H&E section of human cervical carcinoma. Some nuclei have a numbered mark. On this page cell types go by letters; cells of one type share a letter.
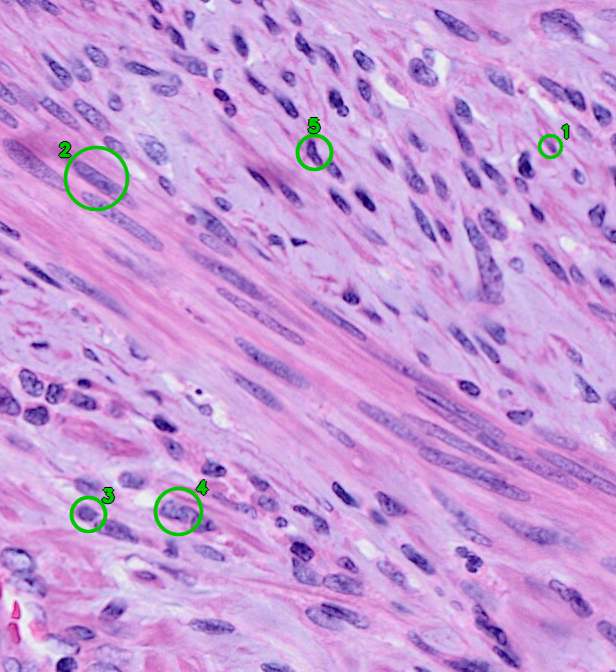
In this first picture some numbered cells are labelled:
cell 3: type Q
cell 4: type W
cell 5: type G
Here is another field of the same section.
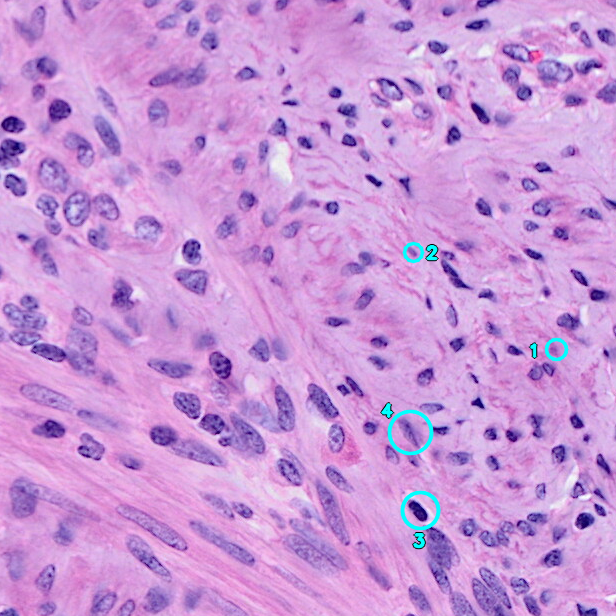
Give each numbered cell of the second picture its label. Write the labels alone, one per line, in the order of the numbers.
type G
type G
type Q
type G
